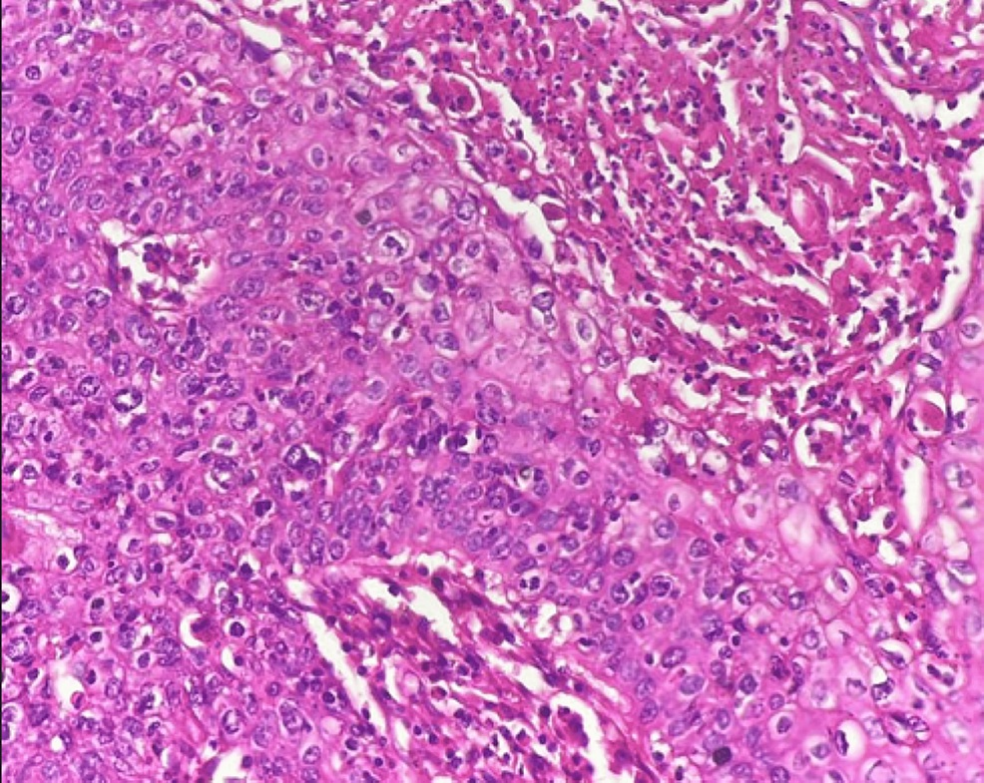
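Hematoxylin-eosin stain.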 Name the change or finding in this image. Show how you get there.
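Cytonuclear atypias. Nuclei vary markedly in size and shape. Many nuclei are enlarged and vesicular with conspicuous nucleoli. Some nuclei are dark and irregular.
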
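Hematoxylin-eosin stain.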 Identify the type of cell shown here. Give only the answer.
Squamous cells.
